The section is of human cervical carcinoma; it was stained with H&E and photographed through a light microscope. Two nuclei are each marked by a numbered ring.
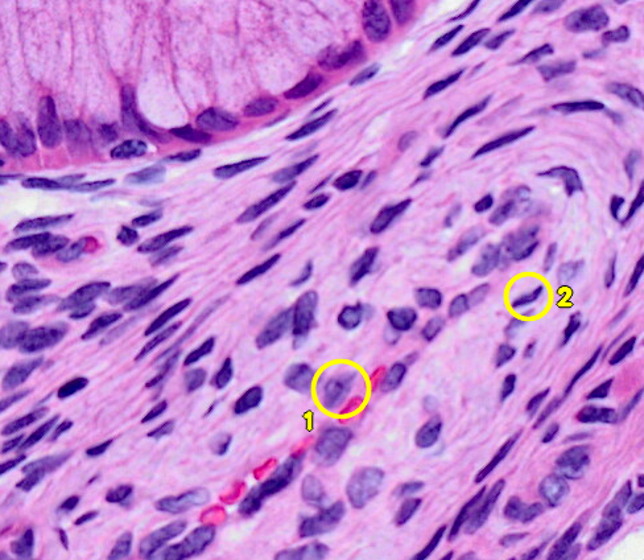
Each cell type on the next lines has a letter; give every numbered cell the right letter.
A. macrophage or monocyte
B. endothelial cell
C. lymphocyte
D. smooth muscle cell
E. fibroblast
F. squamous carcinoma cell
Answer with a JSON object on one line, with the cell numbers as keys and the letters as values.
{"1": "B", "2": "E"}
